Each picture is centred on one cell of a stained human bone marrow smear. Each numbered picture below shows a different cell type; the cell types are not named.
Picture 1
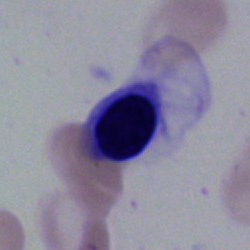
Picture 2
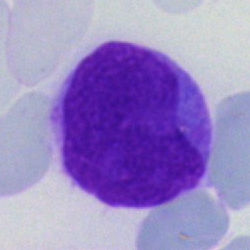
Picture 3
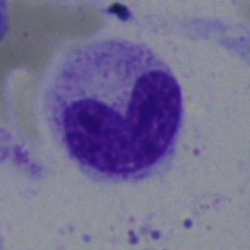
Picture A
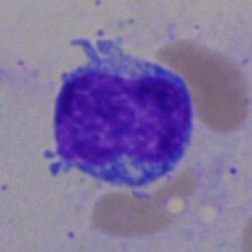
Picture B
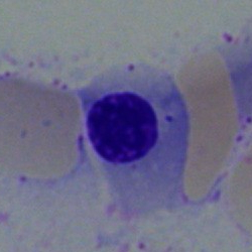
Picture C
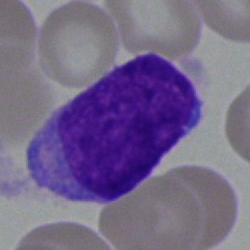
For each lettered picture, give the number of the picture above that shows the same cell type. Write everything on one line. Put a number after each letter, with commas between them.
A 2, B 1, C 2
